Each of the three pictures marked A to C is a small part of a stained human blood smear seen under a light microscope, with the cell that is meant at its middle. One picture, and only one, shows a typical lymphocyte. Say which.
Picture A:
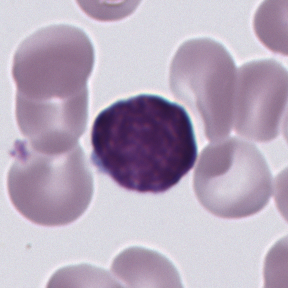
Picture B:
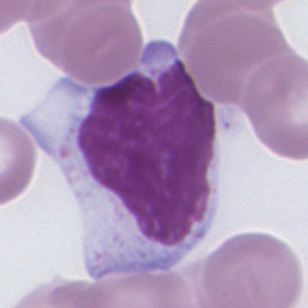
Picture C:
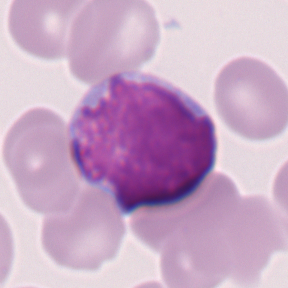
A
